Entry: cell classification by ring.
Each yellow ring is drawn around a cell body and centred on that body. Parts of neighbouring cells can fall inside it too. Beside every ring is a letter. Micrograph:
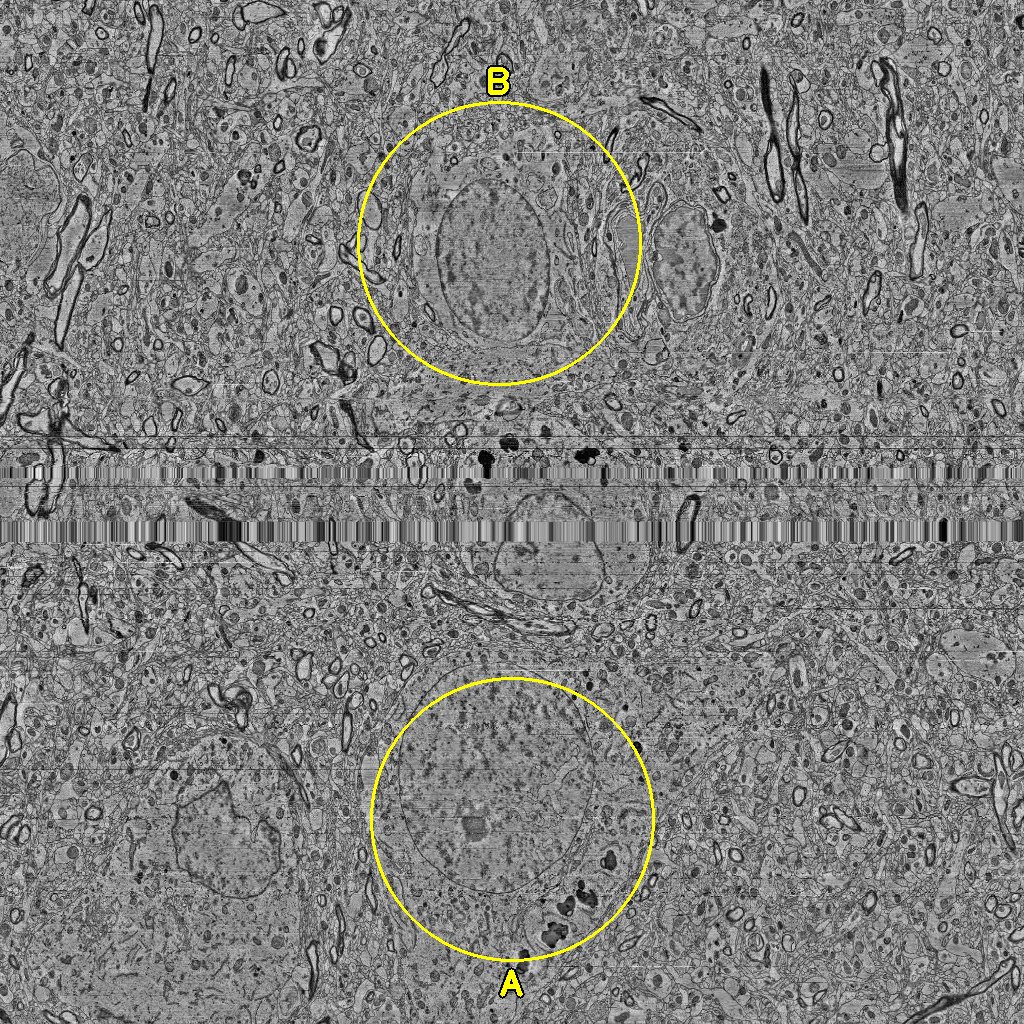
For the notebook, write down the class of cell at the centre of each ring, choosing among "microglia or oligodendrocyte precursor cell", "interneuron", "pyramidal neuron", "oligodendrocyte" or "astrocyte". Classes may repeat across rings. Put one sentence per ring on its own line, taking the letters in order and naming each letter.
Ring A marks a pyramidal neuron.
Ring B marks an astrocyte.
